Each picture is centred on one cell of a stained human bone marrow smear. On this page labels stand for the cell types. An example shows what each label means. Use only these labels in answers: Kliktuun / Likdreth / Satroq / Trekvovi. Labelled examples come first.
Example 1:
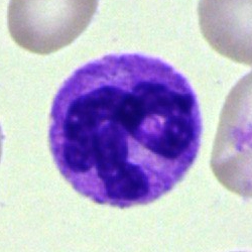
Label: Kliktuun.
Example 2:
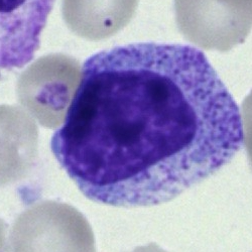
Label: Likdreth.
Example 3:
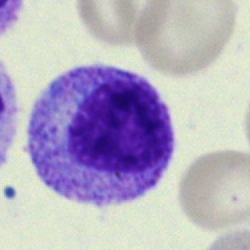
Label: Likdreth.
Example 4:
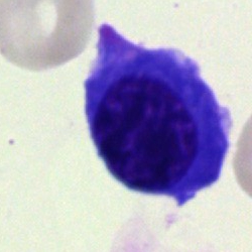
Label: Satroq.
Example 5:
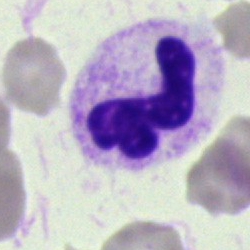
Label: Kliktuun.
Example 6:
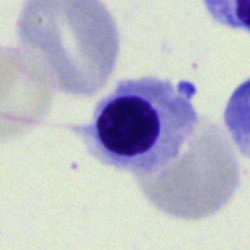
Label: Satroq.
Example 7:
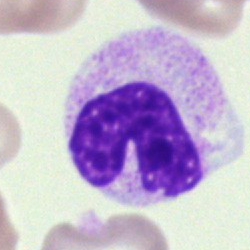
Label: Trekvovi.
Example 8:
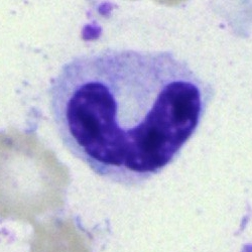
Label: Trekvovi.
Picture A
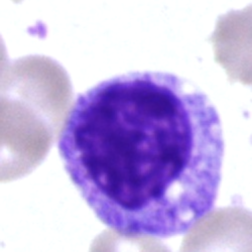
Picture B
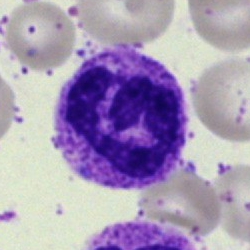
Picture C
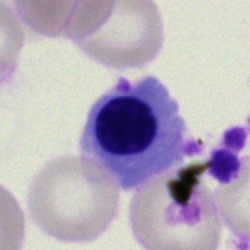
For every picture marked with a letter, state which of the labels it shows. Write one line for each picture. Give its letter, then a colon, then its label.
A: Likdreth.
B: Kliktuun.
C: Satroq.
